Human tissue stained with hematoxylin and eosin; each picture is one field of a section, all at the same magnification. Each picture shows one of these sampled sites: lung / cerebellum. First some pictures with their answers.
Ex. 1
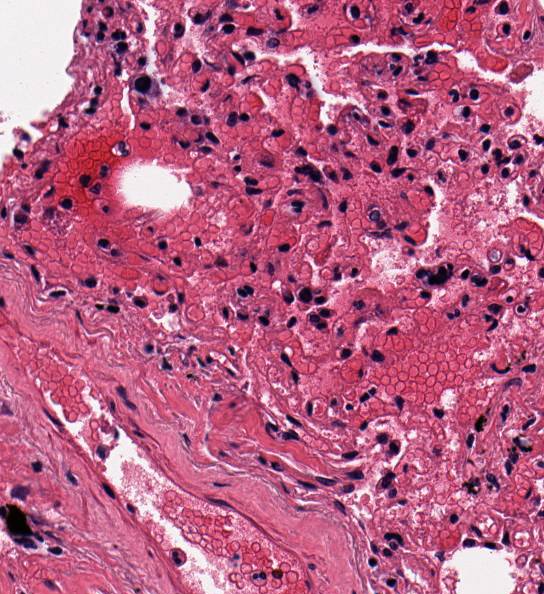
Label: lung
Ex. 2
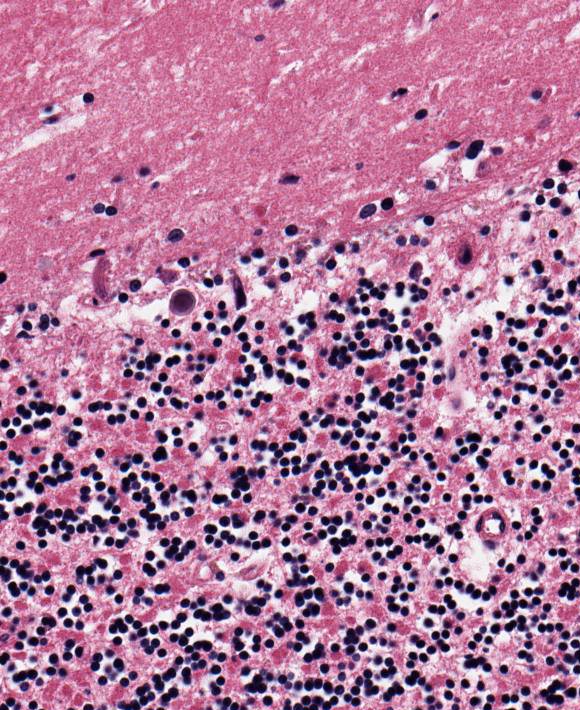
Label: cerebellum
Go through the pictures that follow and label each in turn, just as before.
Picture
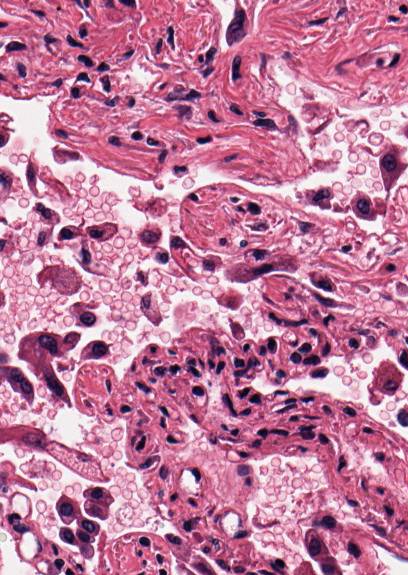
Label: lung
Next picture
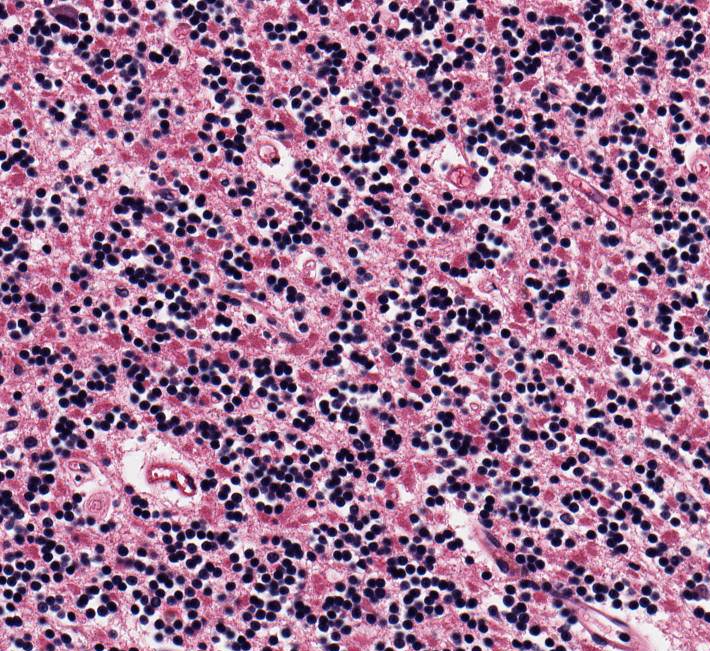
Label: cerebellum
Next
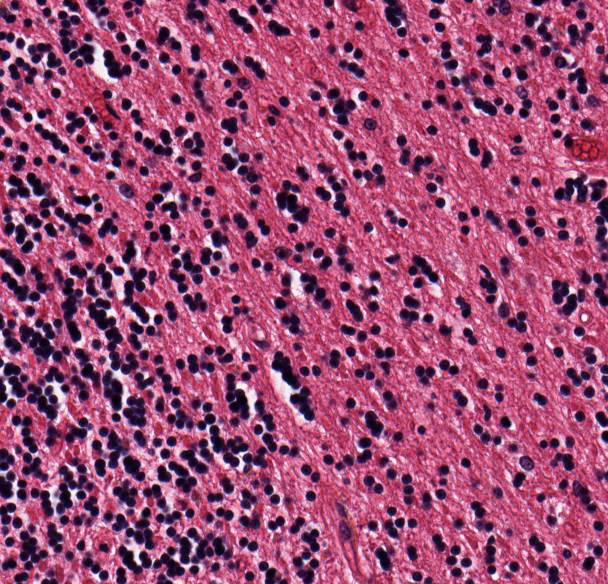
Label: cerebellum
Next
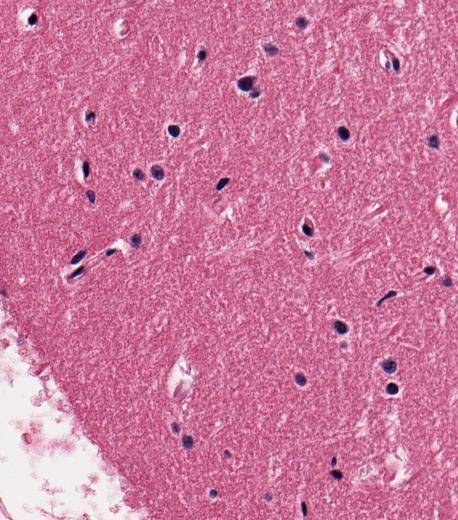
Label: cerebellum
